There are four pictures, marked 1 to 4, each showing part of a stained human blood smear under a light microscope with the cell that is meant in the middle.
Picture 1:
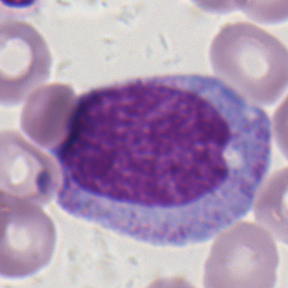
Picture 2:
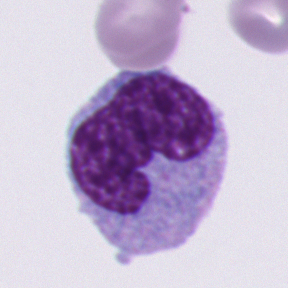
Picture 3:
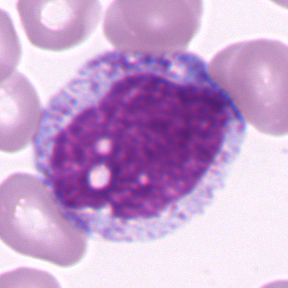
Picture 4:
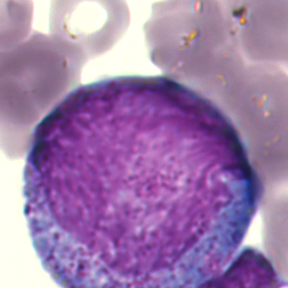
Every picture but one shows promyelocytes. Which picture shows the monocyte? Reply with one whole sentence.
The monocyte is the one in picture 2.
